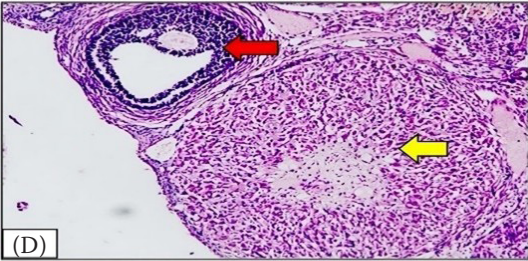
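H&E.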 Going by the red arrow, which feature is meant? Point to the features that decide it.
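A follicle with several layers of dark-staining granulosa cells. A clear antral cavity inside the granulosa layers. A thin ring of theca cells around the follicle.
Hence: healthy ovarian follicles.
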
